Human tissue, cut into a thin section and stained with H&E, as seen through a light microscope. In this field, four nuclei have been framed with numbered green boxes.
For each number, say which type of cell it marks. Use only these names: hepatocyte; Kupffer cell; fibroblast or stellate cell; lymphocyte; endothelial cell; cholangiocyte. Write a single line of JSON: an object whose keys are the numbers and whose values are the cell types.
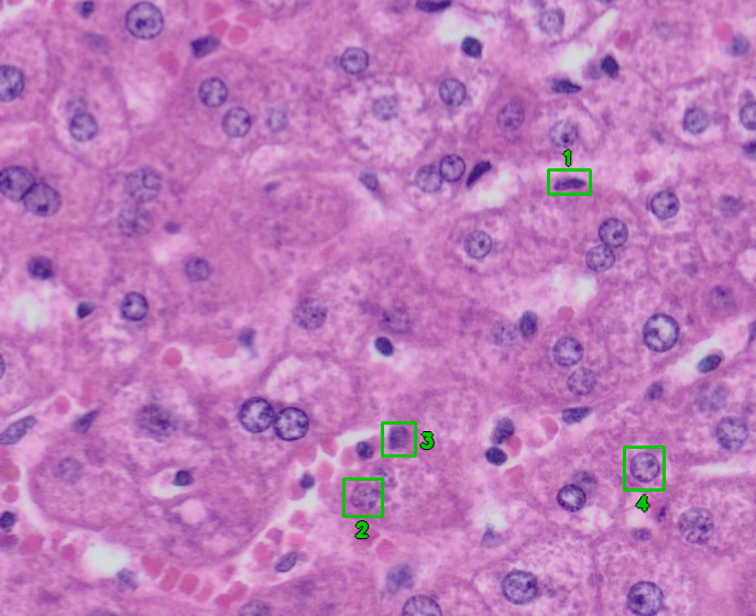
{"1": "endothelial cell", "2": "hepatocyte", "3": "endothelial cell", "4": "hepatocyte"}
